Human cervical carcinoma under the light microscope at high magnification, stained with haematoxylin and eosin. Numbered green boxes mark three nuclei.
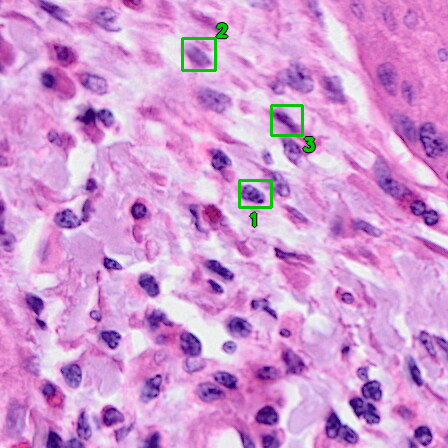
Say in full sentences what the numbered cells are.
Cell 1 is a lymphocyte, cell 2 is a fibroblast and cell 3 is a fibroblast.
